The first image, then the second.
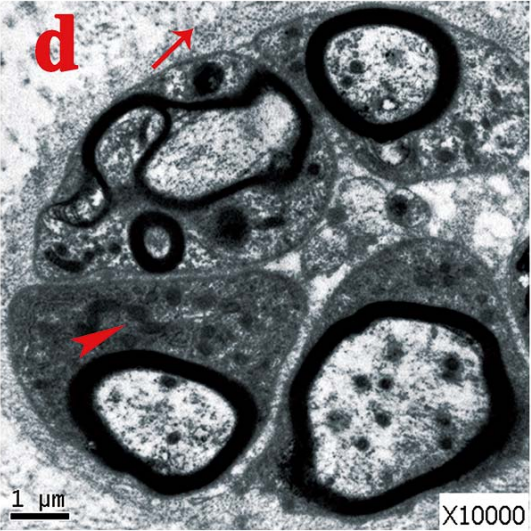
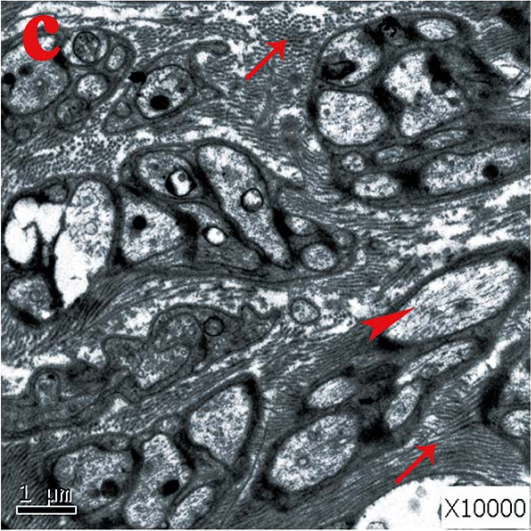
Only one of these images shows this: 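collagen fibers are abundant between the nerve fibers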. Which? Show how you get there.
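First image: the space around the axons holds only a faint, sparse stippling of fine fibrils. Second image: dense fields of dotted and streaked fibril bundles fill most of the space between cell profiles. The answer: the second image.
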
